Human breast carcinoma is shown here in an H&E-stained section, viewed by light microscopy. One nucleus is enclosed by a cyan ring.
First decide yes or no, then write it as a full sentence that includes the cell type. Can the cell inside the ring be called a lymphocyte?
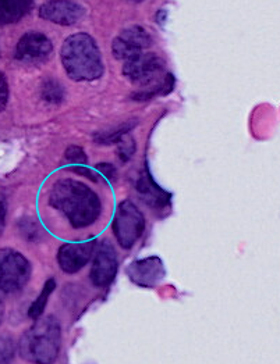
No, kindly revise that, as the cell inside the ring is a carcinoma cell rather than a lymphocyte.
